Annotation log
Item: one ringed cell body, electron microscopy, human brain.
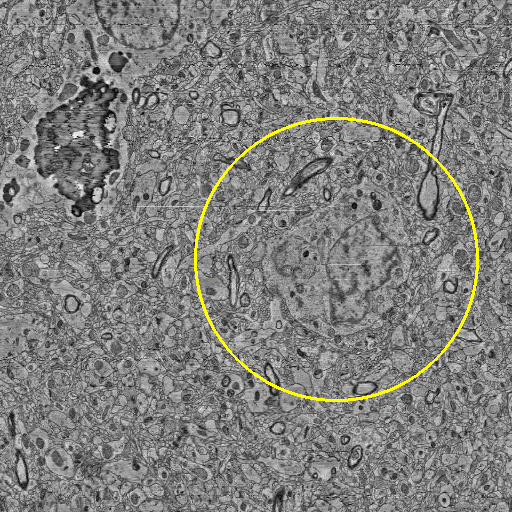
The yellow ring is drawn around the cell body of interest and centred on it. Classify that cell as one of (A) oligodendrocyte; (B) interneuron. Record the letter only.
B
